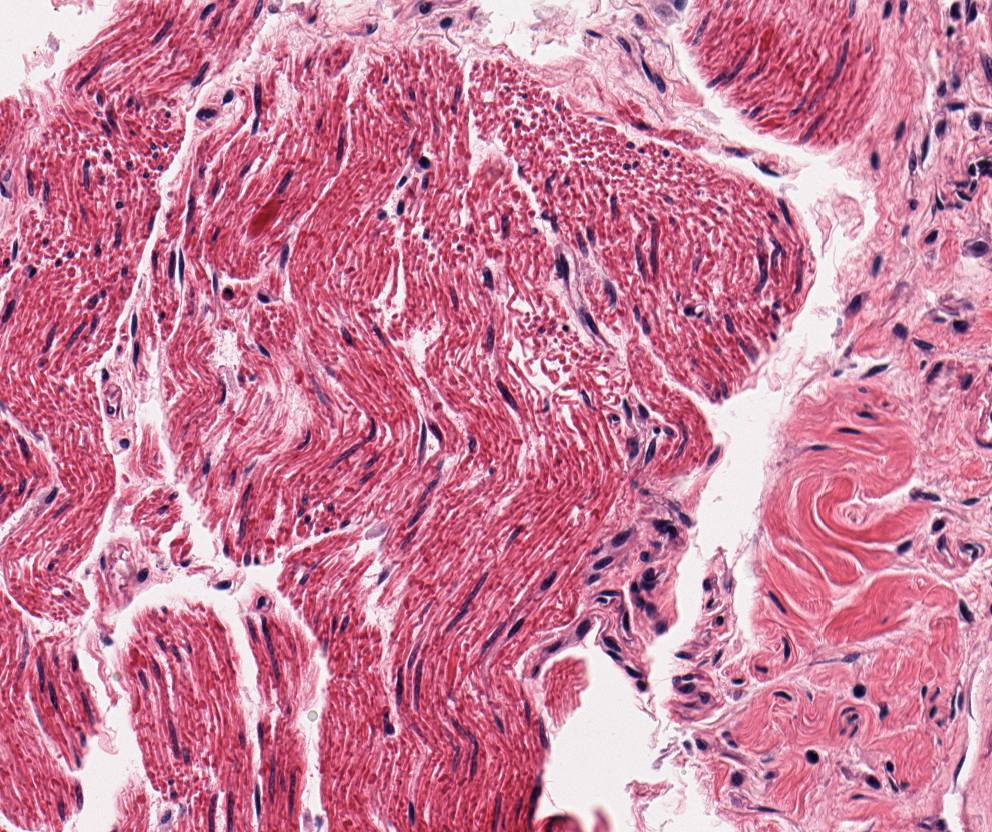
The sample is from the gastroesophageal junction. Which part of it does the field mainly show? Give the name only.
smooth muscle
